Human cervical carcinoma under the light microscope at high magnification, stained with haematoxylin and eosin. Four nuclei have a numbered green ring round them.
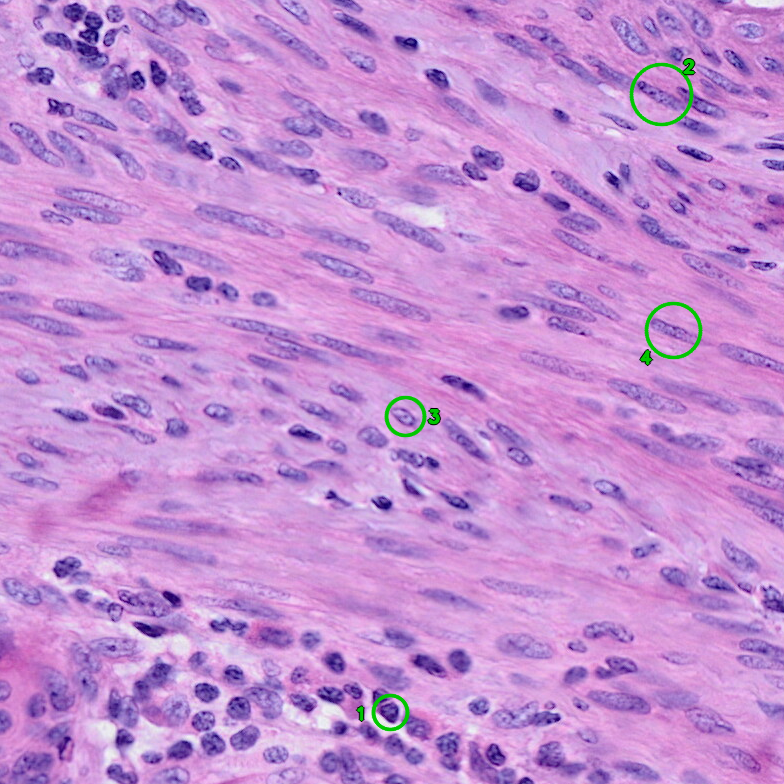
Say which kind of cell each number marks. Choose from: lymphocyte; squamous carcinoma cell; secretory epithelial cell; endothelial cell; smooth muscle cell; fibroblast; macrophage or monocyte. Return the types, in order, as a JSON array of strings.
["lymphocyte", "smooth muscle cell", "smooth muscle cell", "smooth muscle cell"]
